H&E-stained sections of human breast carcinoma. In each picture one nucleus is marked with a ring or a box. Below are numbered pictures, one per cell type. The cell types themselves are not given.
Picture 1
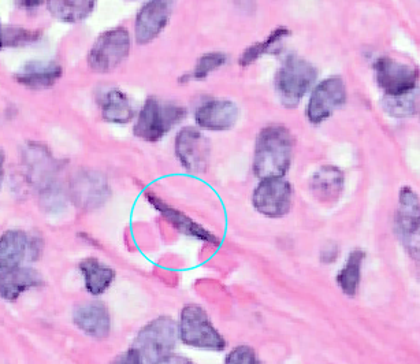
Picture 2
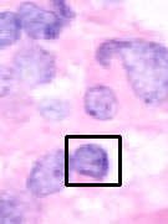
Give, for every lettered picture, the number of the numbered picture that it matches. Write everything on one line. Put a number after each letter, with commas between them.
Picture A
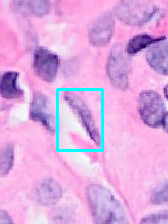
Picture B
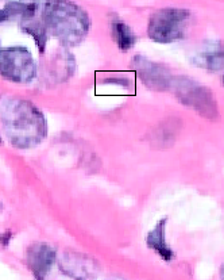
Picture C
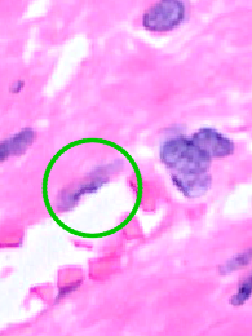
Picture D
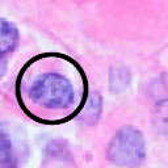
A 1, B 1, C 1, D 2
